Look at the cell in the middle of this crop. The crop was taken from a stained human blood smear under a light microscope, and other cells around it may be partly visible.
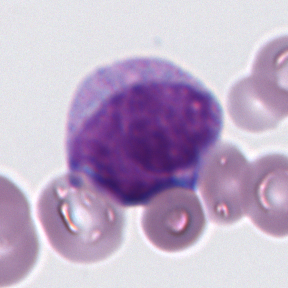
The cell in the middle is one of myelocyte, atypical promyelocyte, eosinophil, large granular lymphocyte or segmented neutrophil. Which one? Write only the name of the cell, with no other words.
atypical promyelocyte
